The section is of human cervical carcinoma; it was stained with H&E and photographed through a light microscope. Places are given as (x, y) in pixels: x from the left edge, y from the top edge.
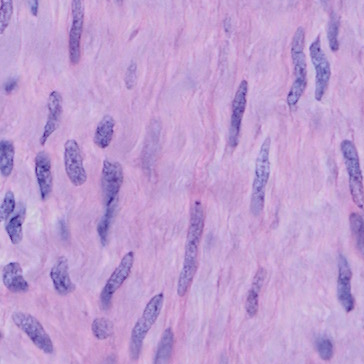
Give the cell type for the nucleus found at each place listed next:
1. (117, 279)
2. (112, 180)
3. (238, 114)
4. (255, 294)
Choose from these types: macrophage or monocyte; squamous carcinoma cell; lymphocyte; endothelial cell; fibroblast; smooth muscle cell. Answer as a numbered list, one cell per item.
1. smooth muscle cell
2. fibroblast
3. smooth muscle cell
4. smooth muscle cell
